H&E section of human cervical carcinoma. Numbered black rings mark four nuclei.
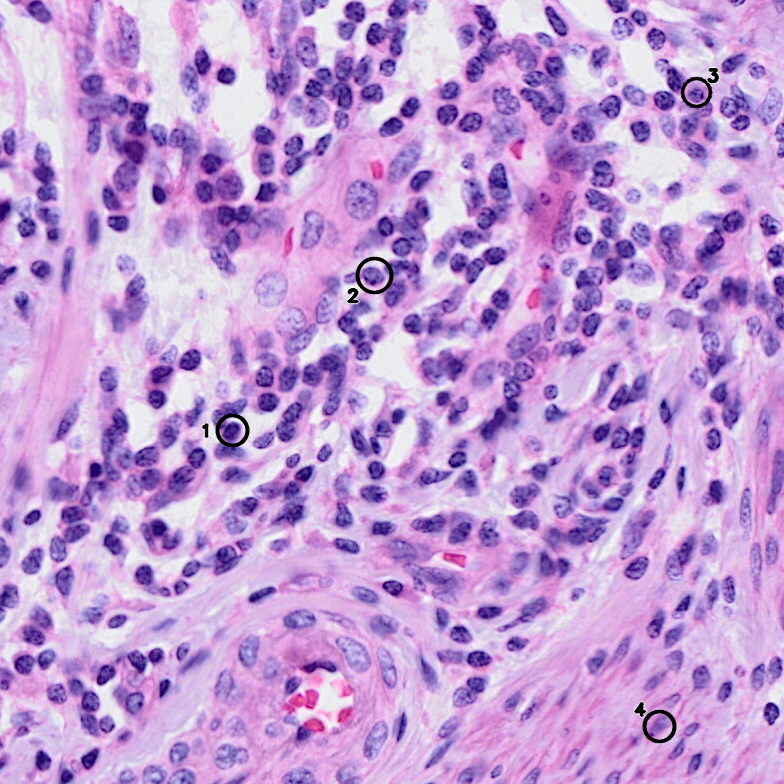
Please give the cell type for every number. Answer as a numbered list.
1. lymphocyte
2. lymphocyte
3. lymphocyte
4. smooth muscle cell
